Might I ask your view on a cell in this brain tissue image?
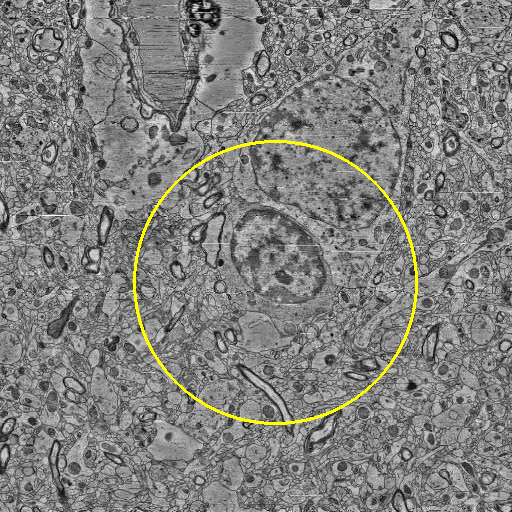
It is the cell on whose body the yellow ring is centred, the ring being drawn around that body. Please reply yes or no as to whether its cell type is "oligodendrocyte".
yes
